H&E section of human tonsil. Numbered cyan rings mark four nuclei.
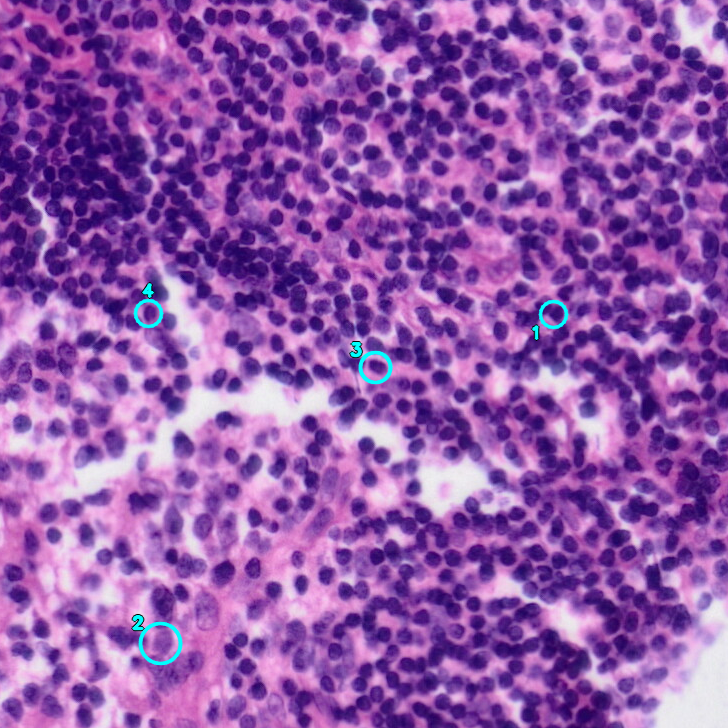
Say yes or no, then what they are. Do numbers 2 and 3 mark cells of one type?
No, cell 2 is a proliferating B cell and cell 3 is a small lymphocyte.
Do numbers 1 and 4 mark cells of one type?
Yes, both are small lymphocytes.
